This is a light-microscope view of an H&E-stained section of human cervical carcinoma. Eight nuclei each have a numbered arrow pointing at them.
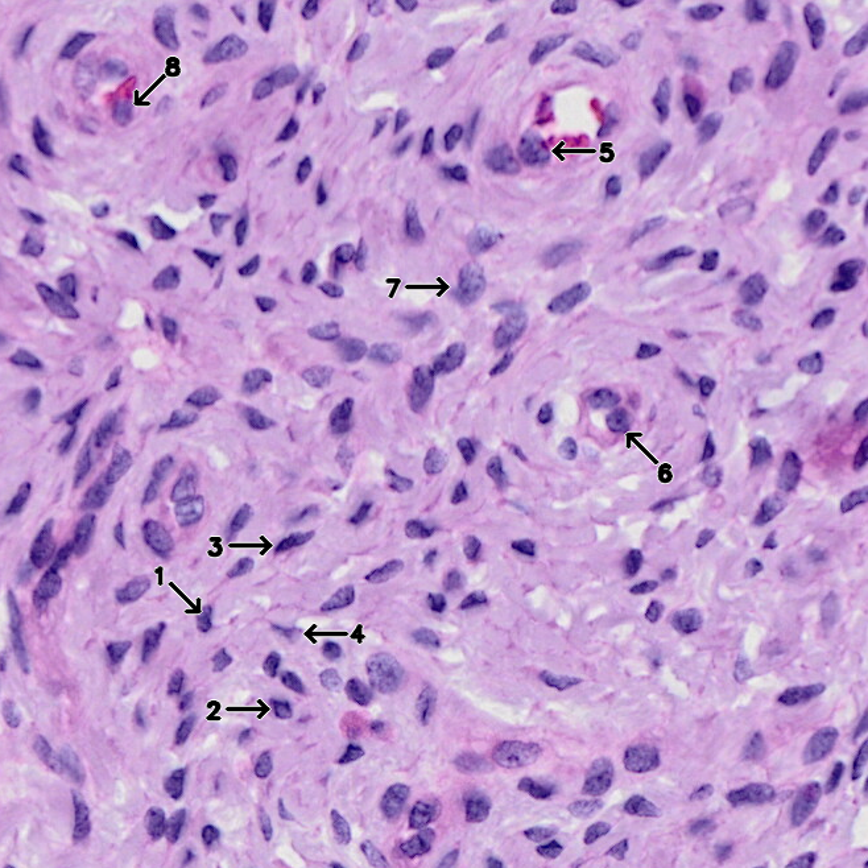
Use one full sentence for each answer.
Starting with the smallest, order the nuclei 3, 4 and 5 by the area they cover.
Smallest first, the nuclei run 4, 3, 5.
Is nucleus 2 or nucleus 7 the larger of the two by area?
Nucleus 7 covers more area, about 3 times as much as nucleus 2.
